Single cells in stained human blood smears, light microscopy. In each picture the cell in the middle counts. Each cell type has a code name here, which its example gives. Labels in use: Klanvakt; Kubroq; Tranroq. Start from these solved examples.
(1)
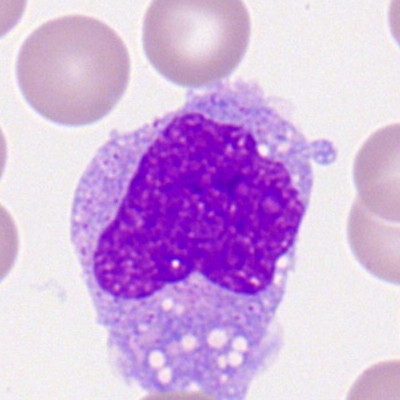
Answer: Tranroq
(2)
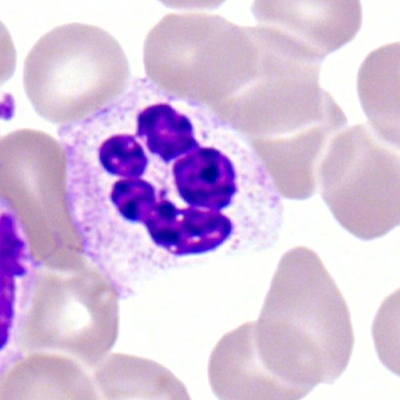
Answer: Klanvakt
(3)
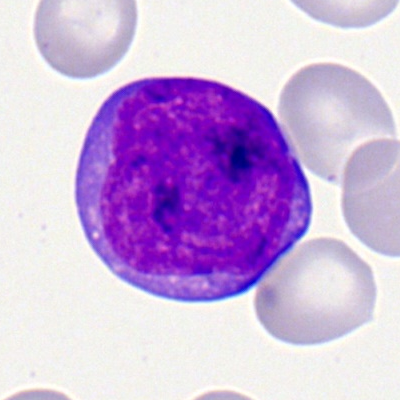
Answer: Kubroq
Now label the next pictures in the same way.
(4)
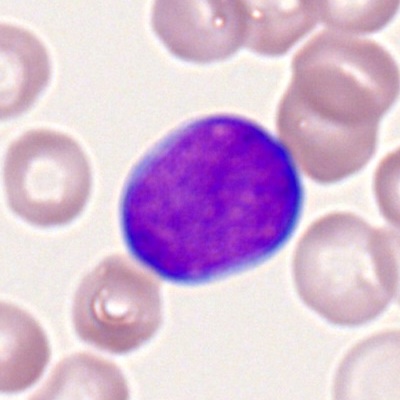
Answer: Kubroq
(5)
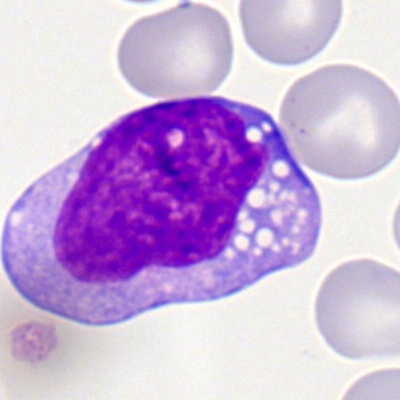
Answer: Tranroq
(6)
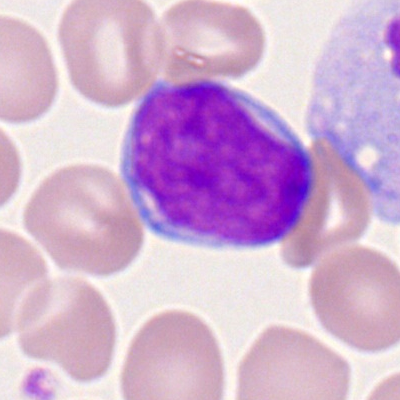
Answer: Kubroq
